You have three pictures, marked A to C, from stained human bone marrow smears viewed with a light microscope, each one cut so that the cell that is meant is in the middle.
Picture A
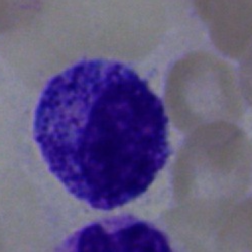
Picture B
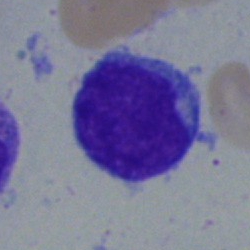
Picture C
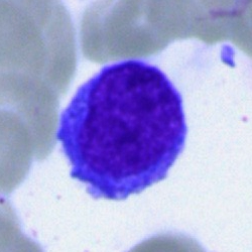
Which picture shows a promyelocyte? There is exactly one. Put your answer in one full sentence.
It is picture A that shows the promyelocyte.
